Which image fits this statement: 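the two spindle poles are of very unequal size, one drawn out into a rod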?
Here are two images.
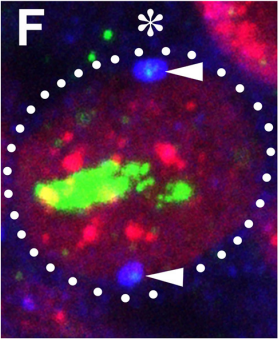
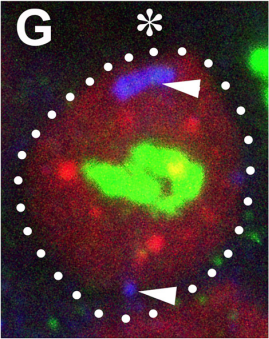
The second image.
